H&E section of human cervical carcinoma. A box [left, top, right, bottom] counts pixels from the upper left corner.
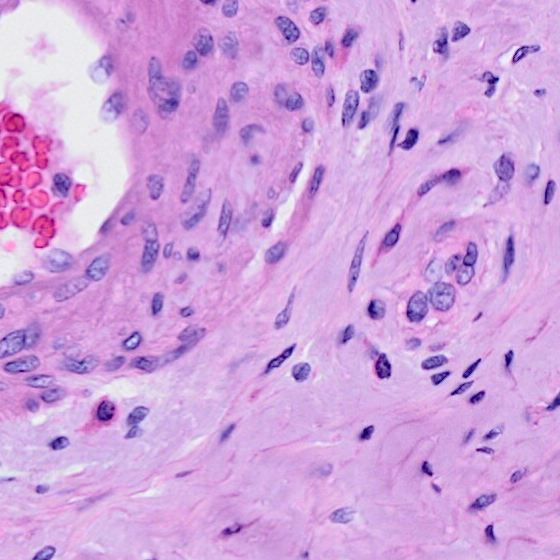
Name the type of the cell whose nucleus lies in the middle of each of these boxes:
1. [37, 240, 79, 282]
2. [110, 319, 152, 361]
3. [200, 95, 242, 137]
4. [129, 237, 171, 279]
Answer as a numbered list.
1. endothelial cell
2. smooth muscle cell
3. smooth muscle cell
4. smooth muscle cell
